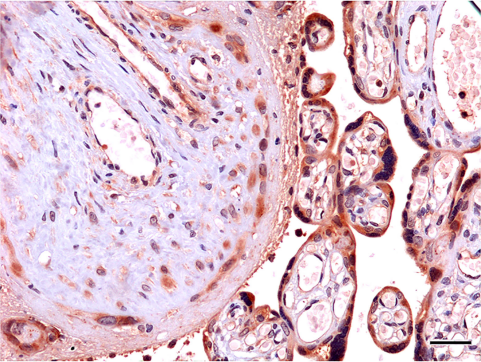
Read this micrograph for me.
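This is placental tissue with numerous small villi cut in cross-section beside a larger region of dense stroma around a vessel. The small villi contain open capillaries and are bordered by an outer trophoblast layer that is stained brown, with some dark clustered nuclei at their surfaces. The larger structure has a fibrous, pale purple matrix in which many scattered cells have brown-stained nuclei and cytoplasm. A lumen lined by flattened cells lies within this dense region.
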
